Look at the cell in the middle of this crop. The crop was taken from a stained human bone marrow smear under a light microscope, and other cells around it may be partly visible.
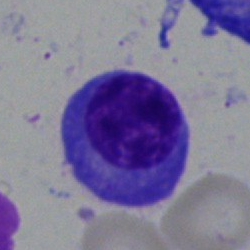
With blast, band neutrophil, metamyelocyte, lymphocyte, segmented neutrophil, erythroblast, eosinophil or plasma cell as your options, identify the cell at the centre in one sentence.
Classified as a plasma cell is the cell in the middle of this crop.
